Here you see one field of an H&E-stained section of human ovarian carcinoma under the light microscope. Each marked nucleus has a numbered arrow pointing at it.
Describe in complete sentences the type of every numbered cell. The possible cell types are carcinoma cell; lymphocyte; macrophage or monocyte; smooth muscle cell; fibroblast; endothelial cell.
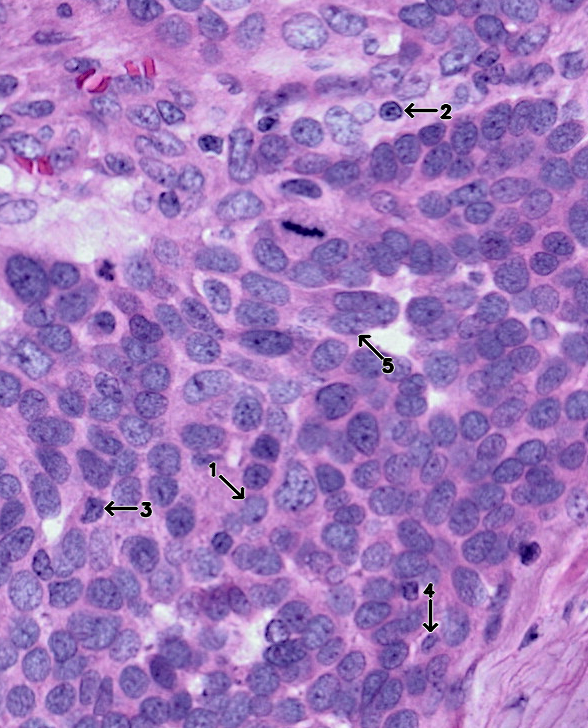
Cells 1 and 5 are carcinoma cells. Cell 2 is a lymphocyte. Cells 3 and 4 are macrophages or monocytes.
